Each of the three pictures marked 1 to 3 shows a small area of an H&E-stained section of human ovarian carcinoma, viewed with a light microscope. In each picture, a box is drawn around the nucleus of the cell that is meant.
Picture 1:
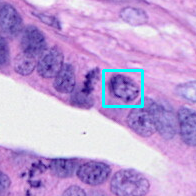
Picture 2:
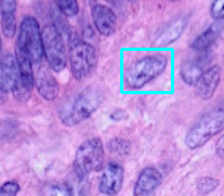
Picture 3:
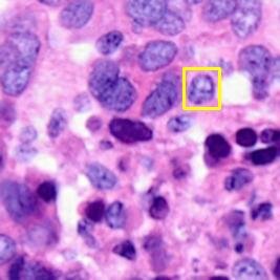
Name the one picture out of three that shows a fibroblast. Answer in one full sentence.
The picture with the fibroblast is 2.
